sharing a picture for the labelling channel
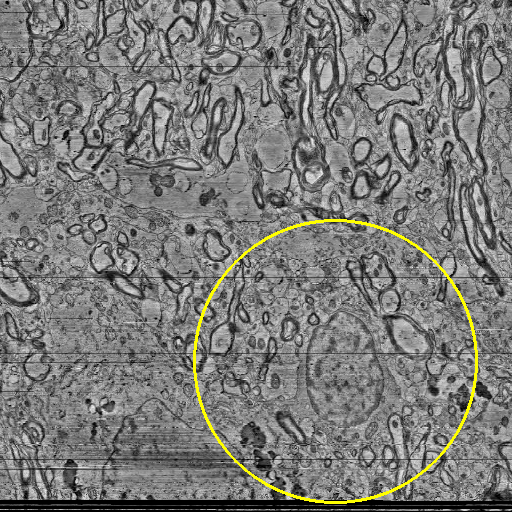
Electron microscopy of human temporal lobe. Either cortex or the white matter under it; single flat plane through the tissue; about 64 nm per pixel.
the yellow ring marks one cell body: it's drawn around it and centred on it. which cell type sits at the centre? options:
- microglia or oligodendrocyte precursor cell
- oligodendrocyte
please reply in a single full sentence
In the picture, the cell at the ring's centre is an oligodendrocyte, going by the list.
